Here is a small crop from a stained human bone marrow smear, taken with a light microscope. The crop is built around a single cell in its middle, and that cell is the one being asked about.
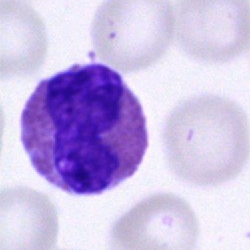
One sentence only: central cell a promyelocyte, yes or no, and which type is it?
No, the central cell is properly termed an eosinophil, not a promyelocyte.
